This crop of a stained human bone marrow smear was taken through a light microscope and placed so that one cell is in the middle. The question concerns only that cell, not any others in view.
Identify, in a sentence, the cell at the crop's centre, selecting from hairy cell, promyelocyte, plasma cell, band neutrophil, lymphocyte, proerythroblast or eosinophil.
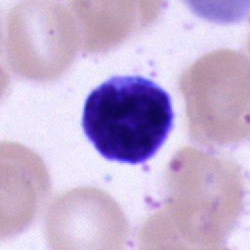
The middle of this crop holds a lymphocyte.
